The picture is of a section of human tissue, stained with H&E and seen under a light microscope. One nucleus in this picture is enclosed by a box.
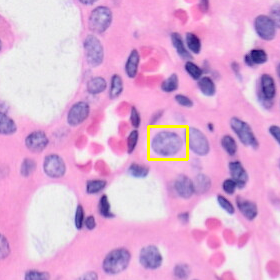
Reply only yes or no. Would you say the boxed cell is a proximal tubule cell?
no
